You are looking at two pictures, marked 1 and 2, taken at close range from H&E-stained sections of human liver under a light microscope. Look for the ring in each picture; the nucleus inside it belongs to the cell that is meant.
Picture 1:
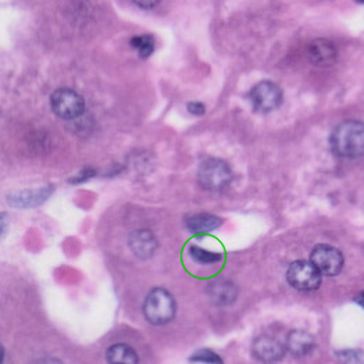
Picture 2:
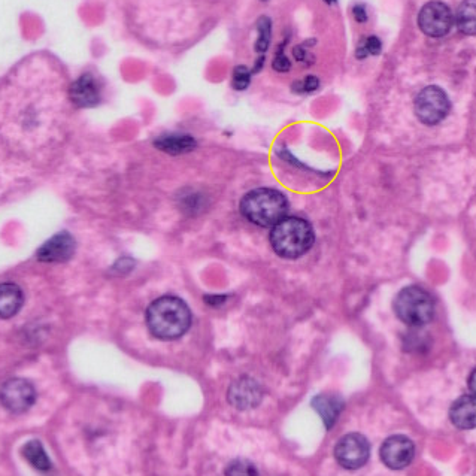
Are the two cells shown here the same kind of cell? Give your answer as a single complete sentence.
No; the cell in picture 1 is a “fibroblast or stellate cell”, while the one in picture 2 is an endothelial cell.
